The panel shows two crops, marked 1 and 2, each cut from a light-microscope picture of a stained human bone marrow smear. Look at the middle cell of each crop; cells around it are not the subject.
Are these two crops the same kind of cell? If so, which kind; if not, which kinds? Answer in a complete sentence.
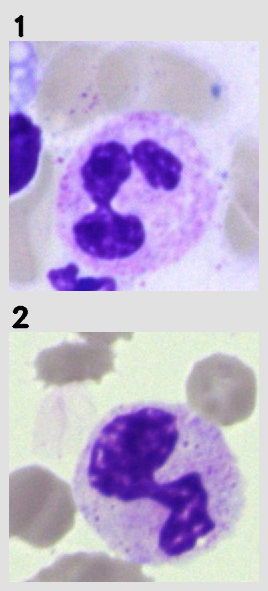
Yes, in the middle of both crops lie segmented neutrophils.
